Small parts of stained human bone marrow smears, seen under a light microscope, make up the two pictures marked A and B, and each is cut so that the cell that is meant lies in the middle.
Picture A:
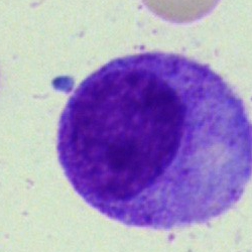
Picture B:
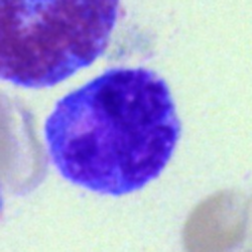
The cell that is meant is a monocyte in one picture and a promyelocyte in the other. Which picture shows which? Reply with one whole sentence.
Picture A shows a promyelocyte and picture B shows a monocyte.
